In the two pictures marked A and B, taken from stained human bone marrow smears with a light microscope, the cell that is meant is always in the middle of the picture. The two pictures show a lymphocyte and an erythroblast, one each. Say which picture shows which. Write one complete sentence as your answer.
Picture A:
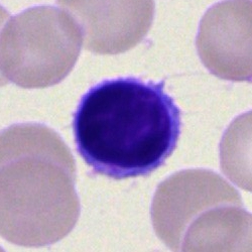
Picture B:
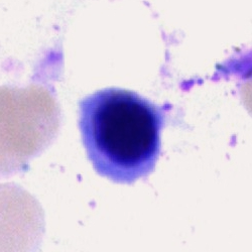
The cell in picture A is a lymphocyte, and the one in picture B is an erythroblast.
